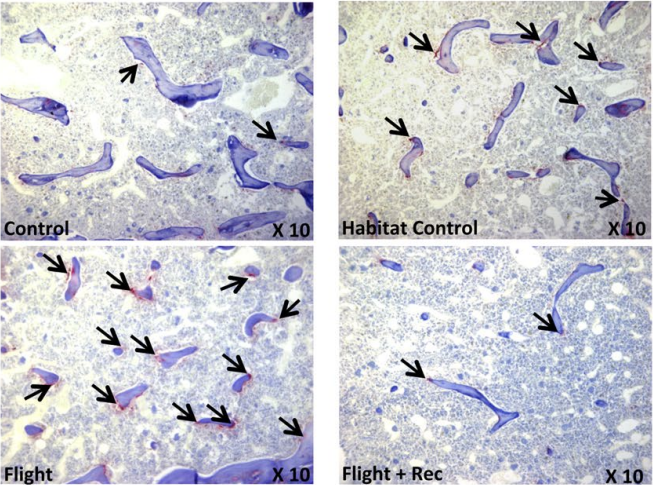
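The trabeculae are thin, curved and branching rods and plates stained blue-purple, lying apart from each other. Between them the space is filled with densely packed small round marrow cells with pale background staining. Small reddish-magenta stained cells sit flat against the edges of the trabeculae where the arrows point. In one image many such red cells line numerous trabeculae, whereas in another only a few trabeculae with little red stain are seen.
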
